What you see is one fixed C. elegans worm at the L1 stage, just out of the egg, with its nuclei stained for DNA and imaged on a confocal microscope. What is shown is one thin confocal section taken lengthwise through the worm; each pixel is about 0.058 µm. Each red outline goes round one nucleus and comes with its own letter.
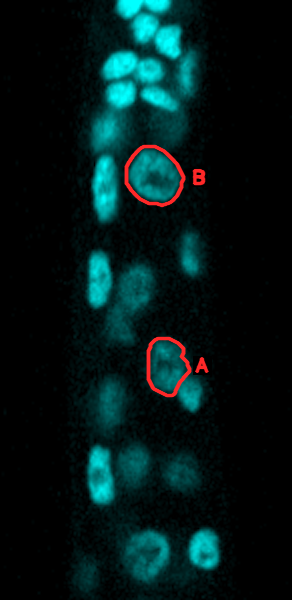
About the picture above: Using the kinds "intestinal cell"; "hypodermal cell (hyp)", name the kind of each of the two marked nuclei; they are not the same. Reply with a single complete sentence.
One is from a hypodermal cell (hyp), namely A, and the other, B, is from an intestinal cell.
